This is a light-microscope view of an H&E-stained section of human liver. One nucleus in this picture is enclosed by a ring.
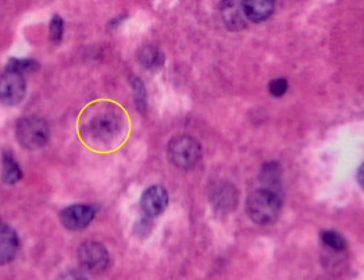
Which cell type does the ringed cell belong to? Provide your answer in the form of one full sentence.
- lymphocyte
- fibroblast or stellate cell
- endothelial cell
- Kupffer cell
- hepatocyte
In this tissue section, the ringed cell is to be classed as a hepatocyte.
